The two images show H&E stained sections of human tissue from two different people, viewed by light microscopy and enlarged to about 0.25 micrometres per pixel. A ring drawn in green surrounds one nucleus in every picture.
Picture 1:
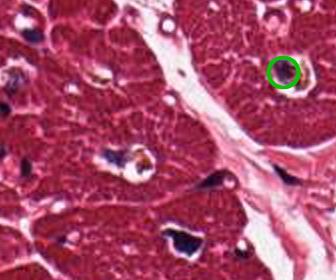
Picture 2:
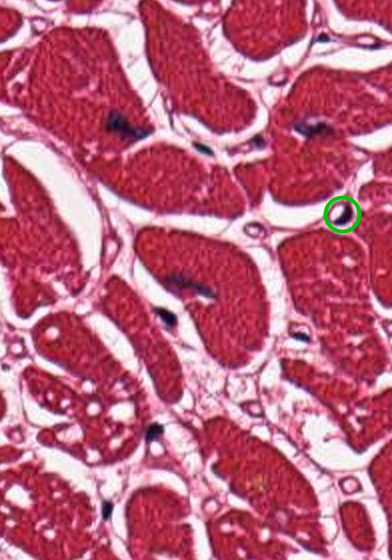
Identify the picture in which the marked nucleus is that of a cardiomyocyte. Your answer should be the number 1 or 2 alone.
1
